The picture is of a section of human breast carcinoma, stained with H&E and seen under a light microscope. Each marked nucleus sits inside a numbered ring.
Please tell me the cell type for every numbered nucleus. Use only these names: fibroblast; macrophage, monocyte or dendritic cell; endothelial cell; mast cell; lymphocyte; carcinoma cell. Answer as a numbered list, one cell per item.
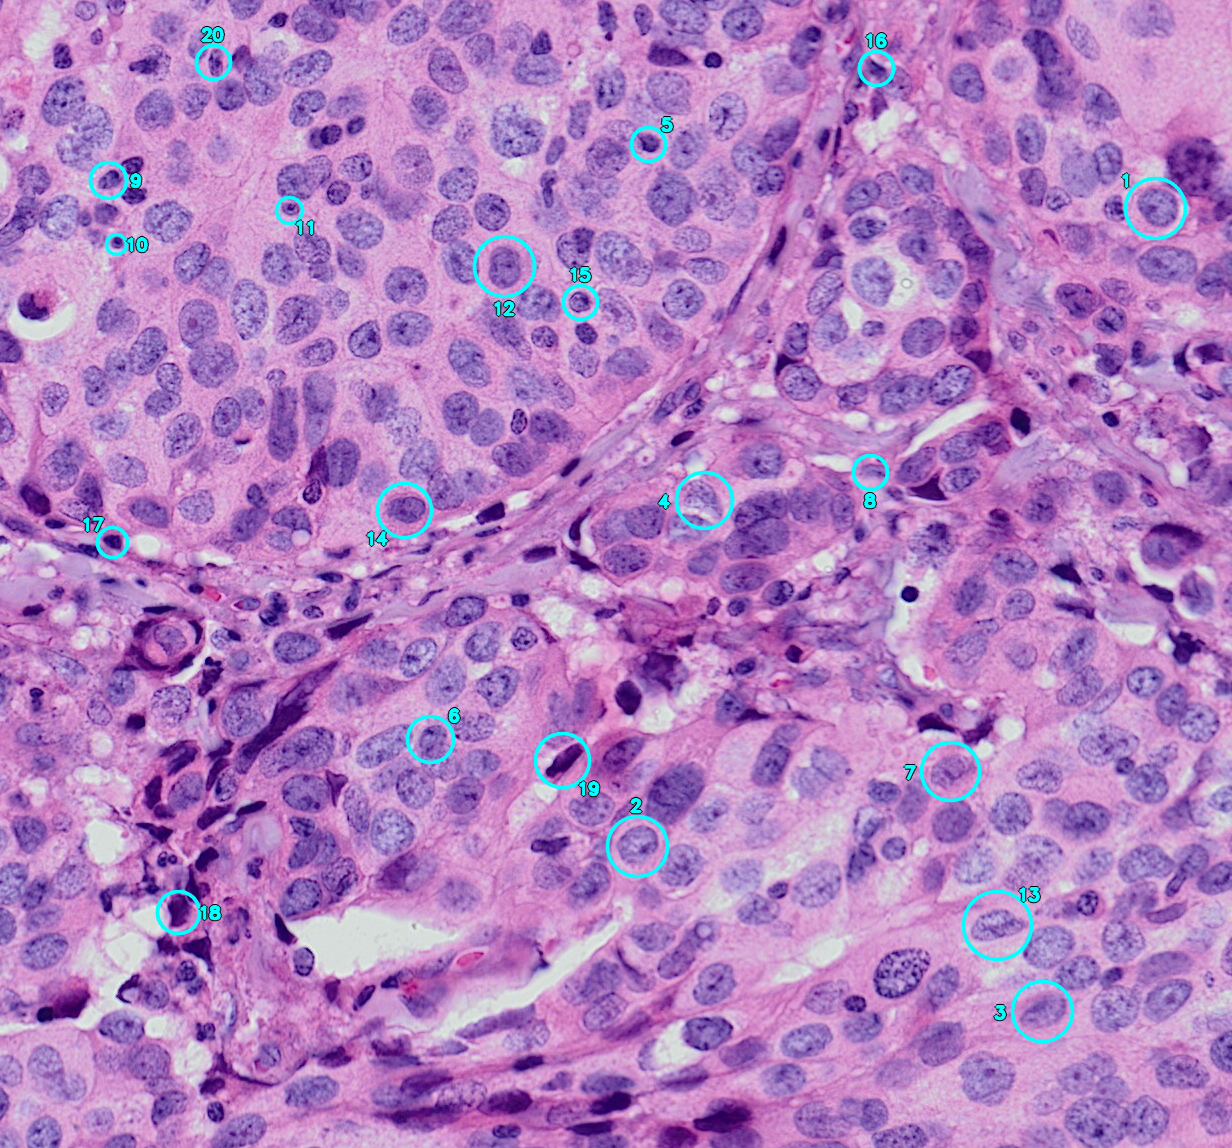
1. carcinoma cell
2. carcinoma cell
3. carcinoma cell
4. carcinoma cell
5. lymphocyte
6. carcinoma cell
7. carcinoma cell
8. endothelial cell
9. lymphocyte
10. lymphocyte
11. lymphocyte
12. carcinoma cell
13. carcinoma cell
14. carcinoma cell
15. lymphocyte
16. lymphocyte
17. lymphocyte
18. carcinoma cell
19. carcinoma cell
20. lymphocyte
